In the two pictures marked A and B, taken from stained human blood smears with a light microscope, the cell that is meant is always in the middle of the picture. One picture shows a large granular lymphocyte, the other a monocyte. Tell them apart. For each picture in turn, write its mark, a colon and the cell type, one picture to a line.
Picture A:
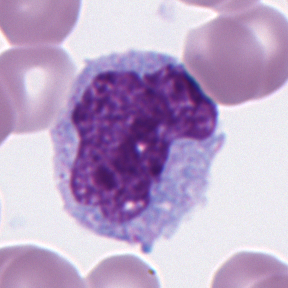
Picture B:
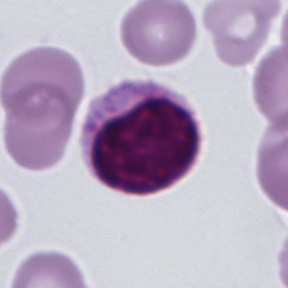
A: monocyte
B: large granular lymphocyte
